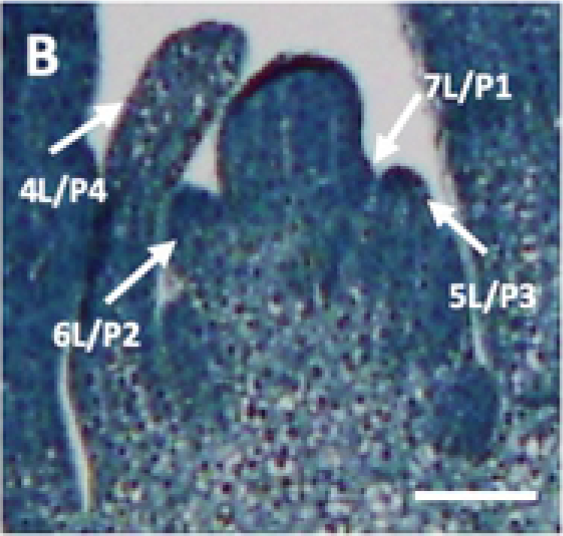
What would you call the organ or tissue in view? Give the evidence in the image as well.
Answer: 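Shoot apex. A central dome of densely stained tissue.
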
